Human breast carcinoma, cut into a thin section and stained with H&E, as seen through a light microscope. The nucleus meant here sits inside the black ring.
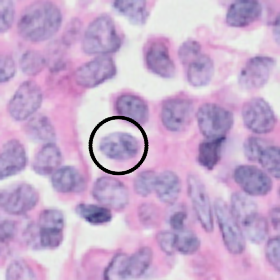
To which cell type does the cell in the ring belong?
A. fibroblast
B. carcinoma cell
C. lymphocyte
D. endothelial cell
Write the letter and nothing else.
B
